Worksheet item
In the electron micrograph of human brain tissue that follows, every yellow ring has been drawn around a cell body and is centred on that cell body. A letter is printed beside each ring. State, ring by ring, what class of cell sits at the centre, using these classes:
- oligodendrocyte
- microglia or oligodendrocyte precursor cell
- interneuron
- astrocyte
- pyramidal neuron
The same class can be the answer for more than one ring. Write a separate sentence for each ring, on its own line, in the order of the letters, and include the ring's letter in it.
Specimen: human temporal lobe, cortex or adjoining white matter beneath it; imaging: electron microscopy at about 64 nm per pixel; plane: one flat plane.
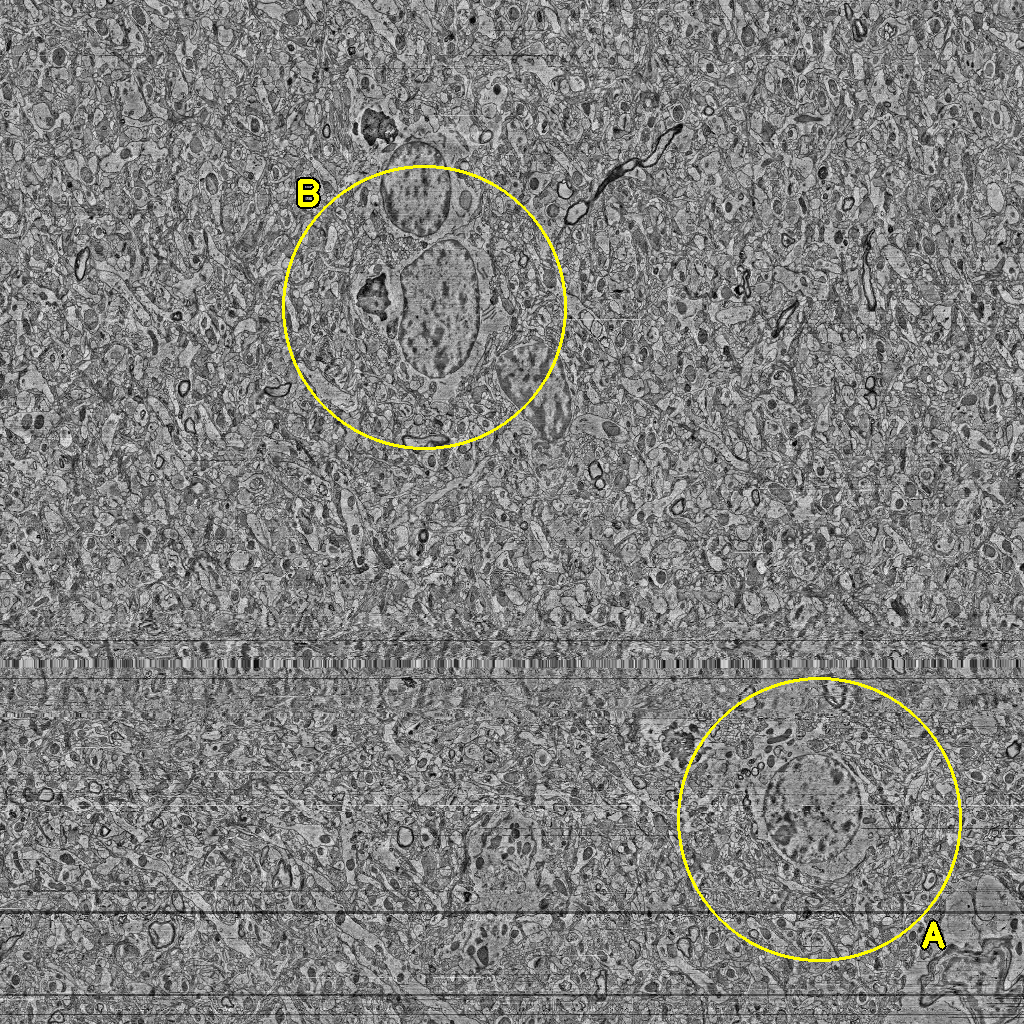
At the centre of ring A sits an astrocyte.
At the centre of ring B sits an astrocyte.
